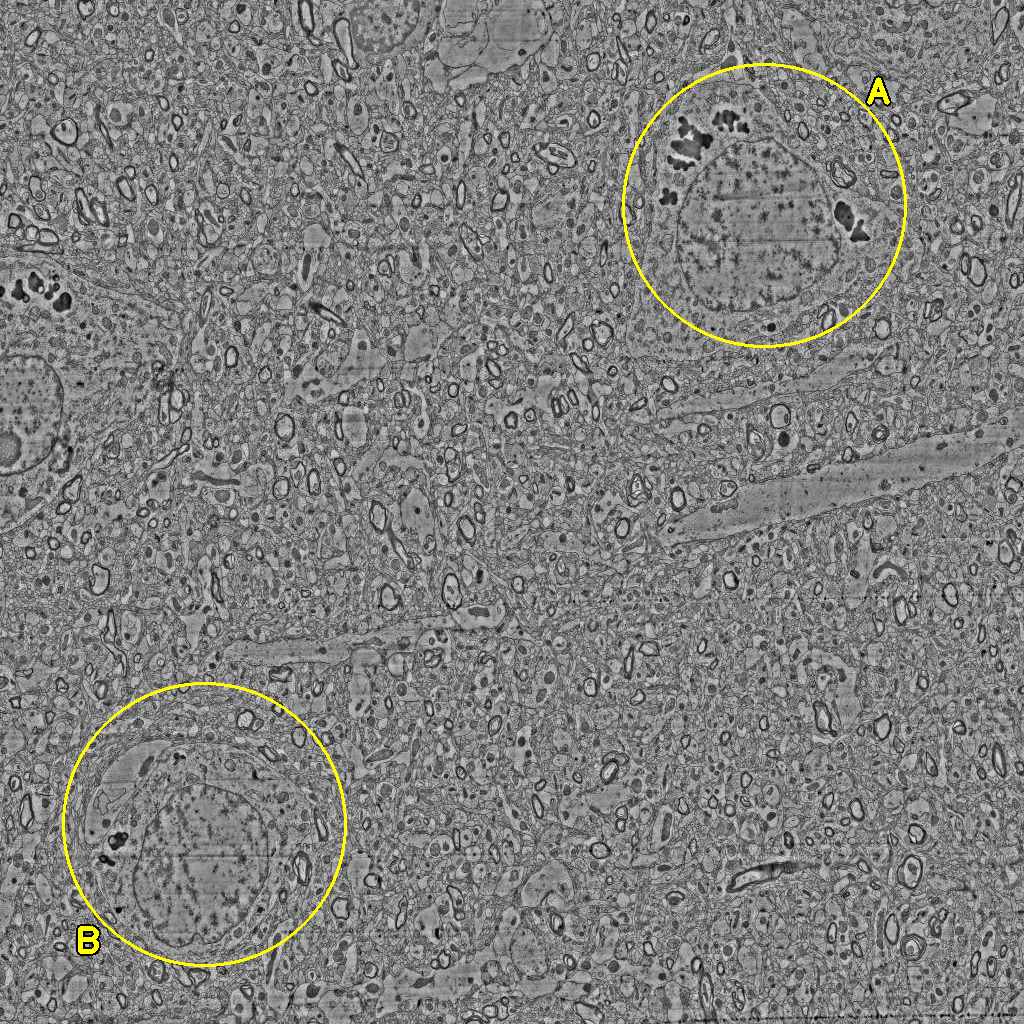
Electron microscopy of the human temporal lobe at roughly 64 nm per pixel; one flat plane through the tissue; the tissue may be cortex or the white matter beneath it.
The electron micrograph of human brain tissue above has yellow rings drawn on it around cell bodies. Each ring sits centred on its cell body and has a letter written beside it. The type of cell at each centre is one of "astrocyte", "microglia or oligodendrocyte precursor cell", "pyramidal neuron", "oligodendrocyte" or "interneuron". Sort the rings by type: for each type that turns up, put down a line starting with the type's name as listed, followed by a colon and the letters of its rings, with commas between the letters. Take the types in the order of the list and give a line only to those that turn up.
pyramidal neuron: B
interneuron: A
